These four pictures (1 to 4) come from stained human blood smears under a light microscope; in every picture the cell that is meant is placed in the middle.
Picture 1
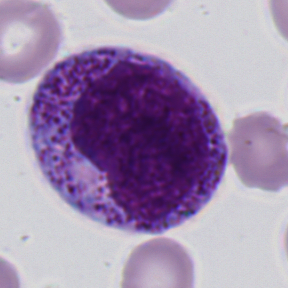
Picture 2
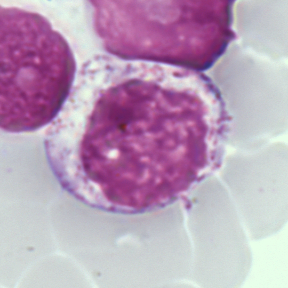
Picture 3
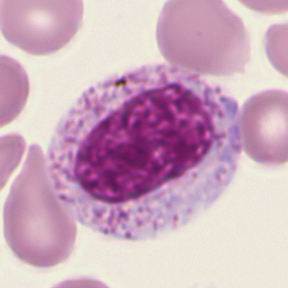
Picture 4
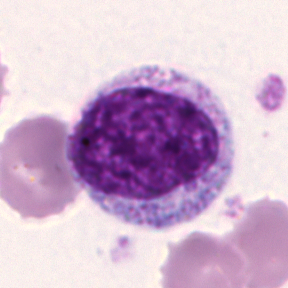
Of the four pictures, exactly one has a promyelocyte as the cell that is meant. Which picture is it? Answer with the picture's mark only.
1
